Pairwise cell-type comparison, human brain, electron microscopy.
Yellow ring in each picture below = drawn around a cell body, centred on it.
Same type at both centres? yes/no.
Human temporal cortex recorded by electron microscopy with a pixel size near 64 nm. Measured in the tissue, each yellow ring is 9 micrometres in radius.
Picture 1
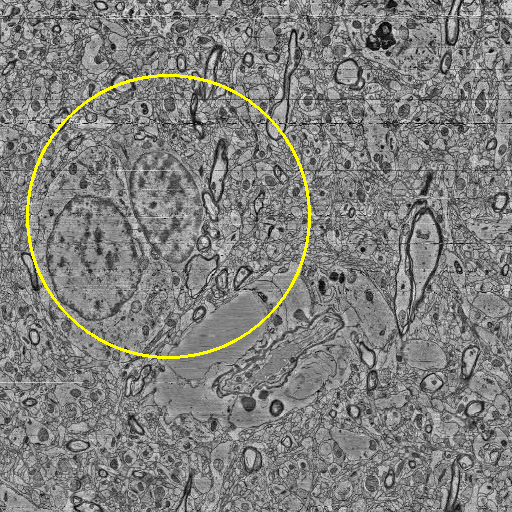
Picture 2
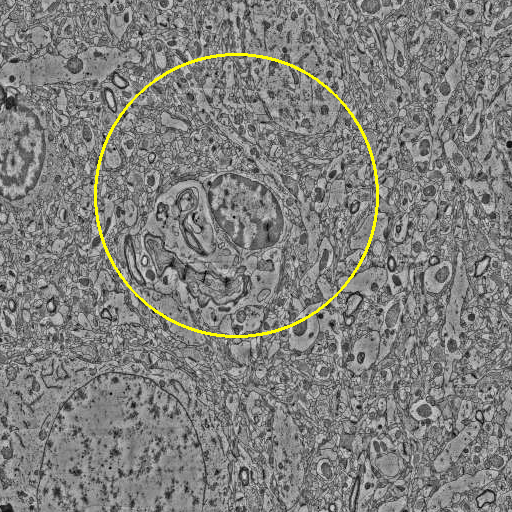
no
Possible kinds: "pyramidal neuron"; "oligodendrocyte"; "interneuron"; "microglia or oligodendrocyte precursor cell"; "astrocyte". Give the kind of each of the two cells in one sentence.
The cell in the second picture is a microglial cell or oligodendrocyte precursor cell, and that in the first is an oligodendrocyte.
